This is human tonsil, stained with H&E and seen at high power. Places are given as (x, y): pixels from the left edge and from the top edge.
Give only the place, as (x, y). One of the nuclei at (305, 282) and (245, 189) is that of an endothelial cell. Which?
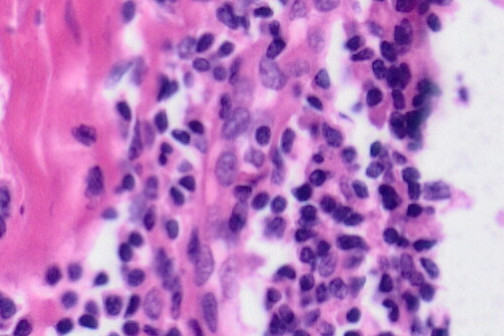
(245, 189)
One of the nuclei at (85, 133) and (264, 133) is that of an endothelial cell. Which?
(264, 133)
